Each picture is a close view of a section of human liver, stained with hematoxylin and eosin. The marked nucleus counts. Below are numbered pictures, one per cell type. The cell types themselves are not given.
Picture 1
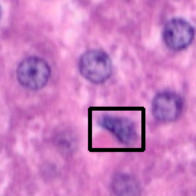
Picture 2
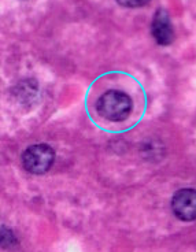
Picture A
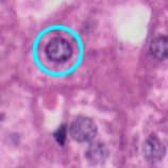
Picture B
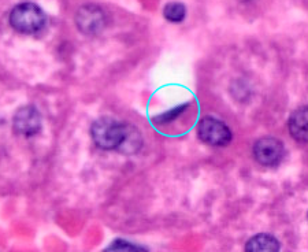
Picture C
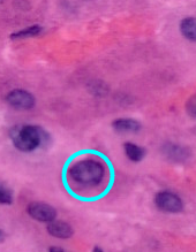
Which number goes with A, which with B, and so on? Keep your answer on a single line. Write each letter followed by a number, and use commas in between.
A 2, B 1, C 2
